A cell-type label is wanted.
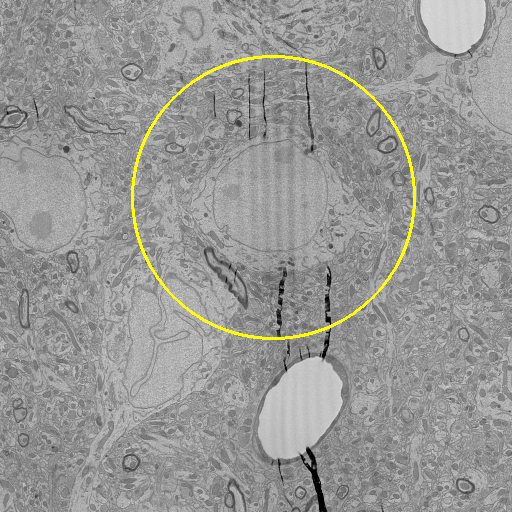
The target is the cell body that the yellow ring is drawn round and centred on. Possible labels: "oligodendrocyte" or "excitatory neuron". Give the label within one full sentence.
Of the labels offered, the cell in the middle of the yellow ring is an excitatory neuron.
